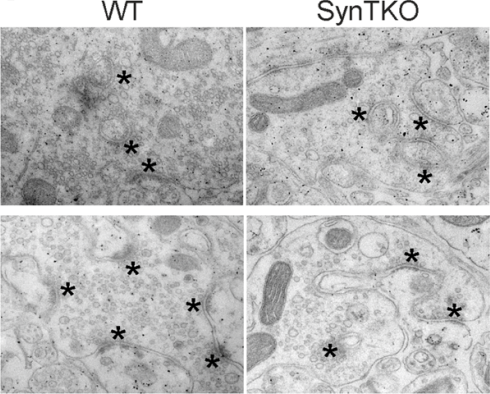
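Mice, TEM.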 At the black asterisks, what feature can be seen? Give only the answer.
Active zones.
